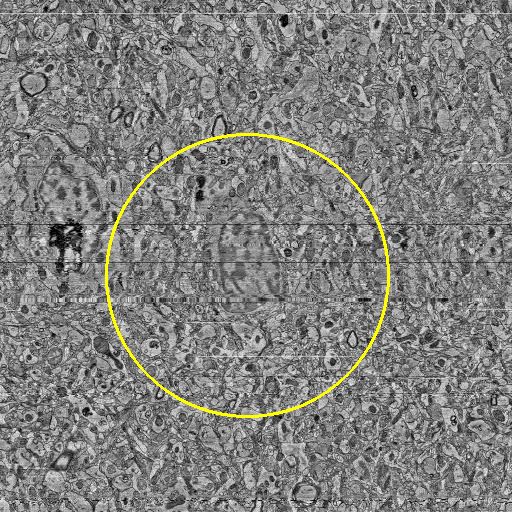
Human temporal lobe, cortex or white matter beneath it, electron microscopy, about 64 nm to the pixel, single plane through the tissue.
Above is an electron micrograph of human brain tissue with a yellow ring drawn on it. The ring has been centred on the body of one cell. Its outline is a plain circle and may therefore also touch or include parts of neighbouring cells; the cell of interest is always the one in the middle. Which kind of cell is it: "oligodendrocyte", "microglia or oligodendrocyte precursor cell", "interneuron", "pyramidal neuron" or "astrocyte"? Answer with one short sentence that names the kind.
The ring's central cell body is that of an oligodendrocyte.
